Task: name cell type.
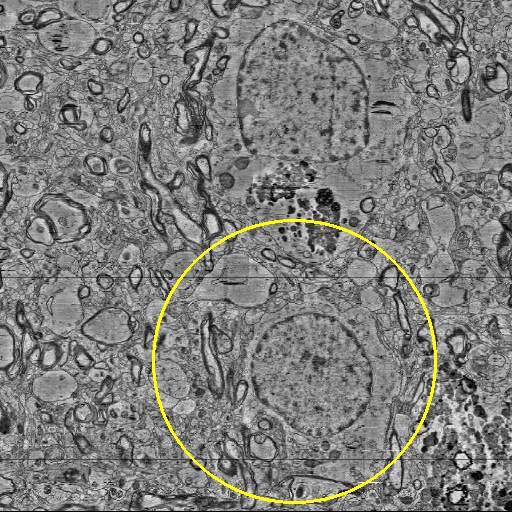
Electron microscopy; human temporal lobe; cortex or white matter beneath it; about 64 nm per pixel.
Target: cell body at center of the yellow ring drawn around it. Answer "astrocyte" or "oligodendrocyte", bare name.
astrocyte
